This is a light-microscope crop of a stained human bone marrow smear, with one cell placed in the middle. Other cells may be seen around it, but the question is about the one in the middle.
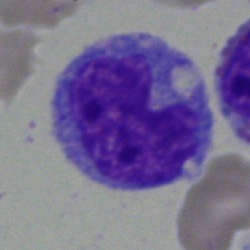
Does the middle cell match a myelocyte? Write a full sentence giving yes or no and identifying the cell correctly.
No, the cell found centrally in the crop is a monocyte, not a myelocyte.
